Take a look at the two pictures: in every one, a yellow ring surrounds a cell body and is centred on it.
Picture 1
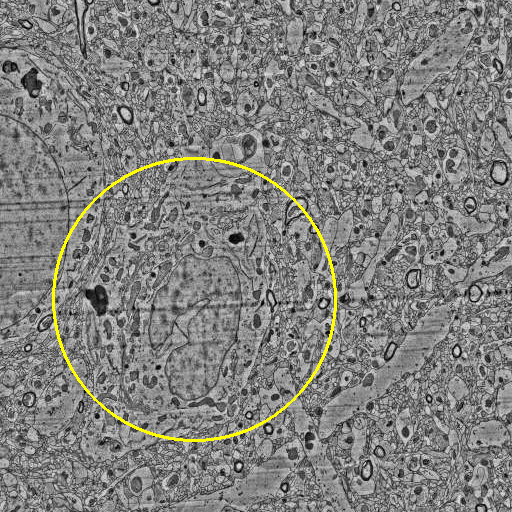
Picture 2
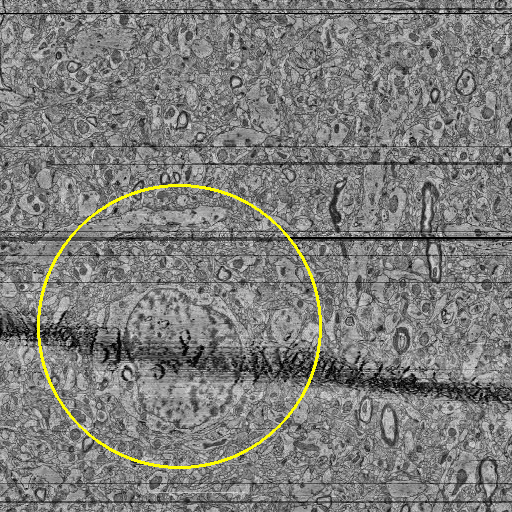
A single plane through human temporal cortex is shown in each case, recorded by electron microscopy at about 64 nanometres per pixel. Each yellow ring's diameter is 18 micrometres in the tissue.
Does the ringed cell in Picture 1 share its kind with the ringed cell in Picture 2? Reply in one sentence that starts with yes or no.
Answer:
Yes, the two centred cells, one per picture, are of one kind.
